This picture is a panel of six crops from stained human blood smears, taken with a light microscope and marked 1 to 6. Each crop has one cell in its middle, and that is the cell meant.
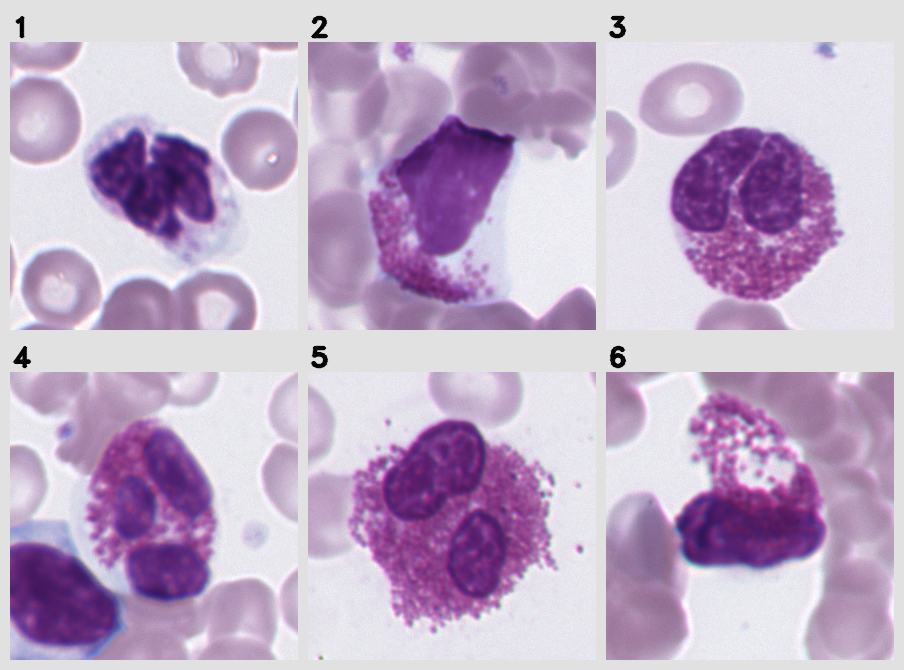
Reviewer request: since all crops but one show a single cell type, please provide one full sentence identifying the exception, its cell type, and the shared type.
Crop 1 is the outlier, with a segmented neutrophil against eosinophils in the rest.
